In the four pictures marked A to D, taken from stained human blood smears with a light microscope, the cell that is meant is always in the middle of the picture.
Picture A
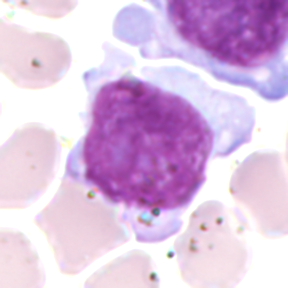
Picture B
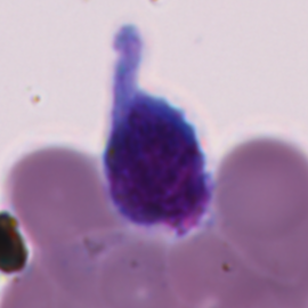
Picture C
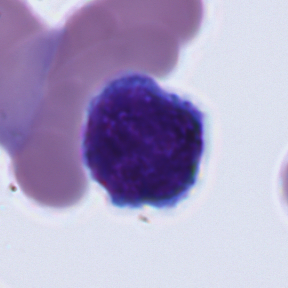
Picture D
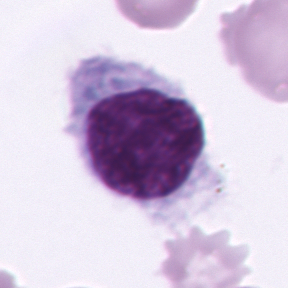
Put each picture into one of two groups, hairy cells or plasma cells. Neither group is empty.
A: plasma cell
B: plasma cell
C: plasma cell
D: hairy cell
